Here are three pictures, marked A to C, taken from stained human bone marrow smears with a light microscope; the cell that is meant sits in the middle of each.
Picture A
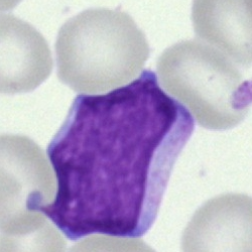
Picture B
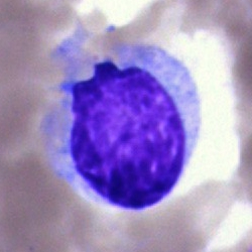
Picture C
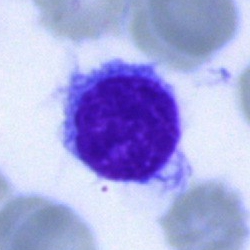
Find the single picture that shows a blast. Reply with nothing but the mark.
A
